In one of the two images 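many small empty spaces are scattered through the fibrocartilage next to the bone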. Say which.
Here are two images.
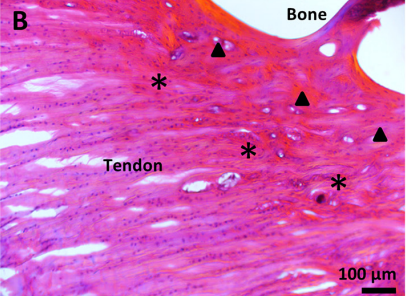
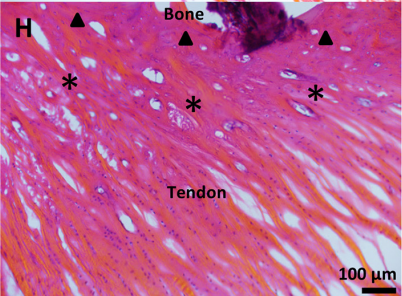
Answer: The second image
